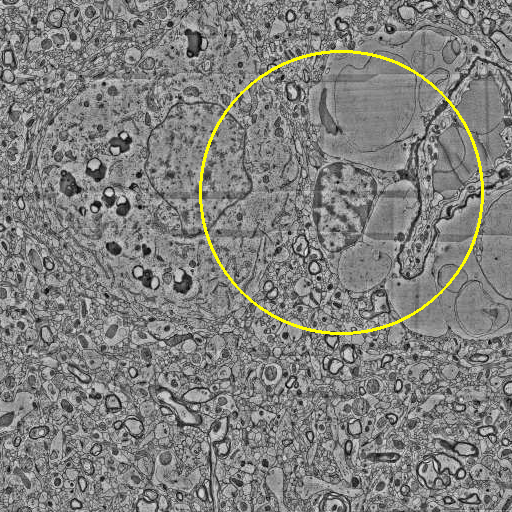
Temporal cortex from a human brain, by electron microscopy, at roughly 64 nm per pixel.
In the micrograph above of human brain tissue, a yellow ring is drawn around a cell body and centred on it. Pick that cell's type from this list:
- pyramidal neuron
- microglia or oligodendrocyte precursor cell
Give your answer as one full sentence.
Going by the list, a microglial cell or oligodendrocyte precursor cell is the cell on which the yellow ring is centred.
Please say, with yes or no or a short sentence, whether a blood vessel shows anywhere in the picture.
Yes, the picture includes a blood vessel.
